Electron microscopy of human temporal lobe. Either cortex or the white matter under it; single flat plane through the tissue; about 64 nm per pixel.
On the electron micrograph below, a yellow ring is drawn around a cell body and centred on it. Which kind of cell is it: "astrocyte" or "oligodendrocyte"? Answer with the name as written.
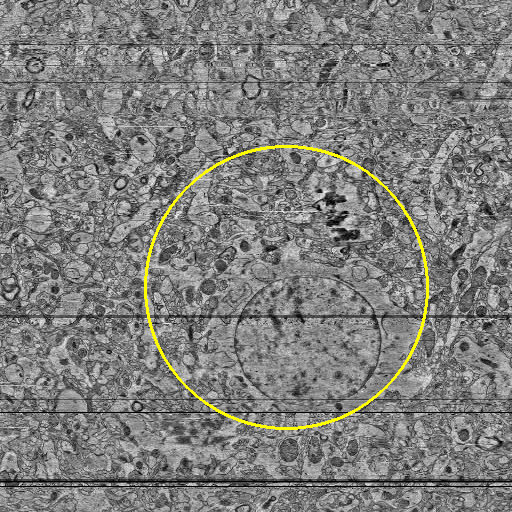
astrocyte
